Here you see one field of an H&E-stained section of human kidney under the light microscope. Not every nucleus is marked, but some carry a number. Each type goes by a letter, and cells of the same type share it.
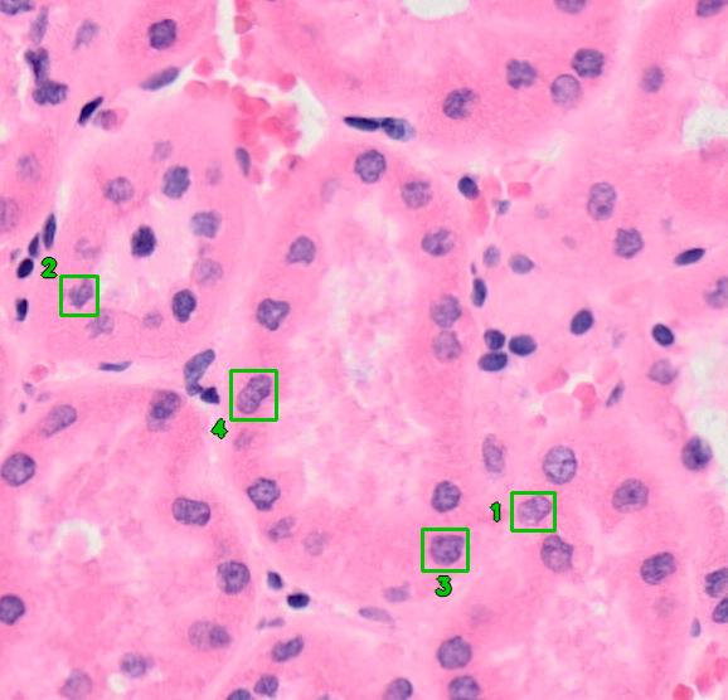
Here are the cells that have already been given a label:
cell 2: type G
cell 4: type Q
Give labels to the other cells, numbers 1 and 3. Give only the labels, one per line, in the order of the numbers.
type Q
type Q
